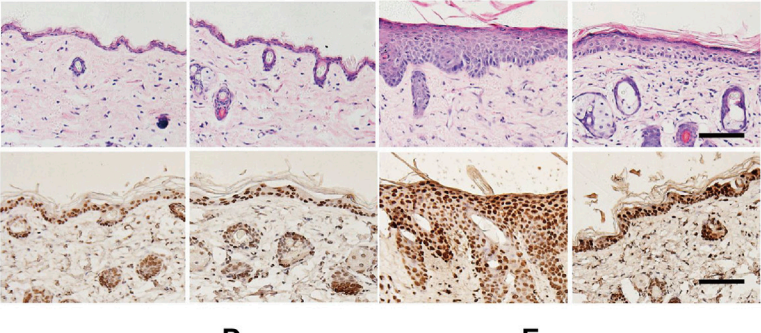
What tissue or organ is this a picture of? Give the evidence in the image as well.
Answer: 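A thin stratified surface epithelium lies over a looser fibrous layer. Round follicle-like structures sit in the fibrous layer below the surface epithelium. Pale, flaky keratinous layers lie on top of the epithelium in several images.
Hence: skin.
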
